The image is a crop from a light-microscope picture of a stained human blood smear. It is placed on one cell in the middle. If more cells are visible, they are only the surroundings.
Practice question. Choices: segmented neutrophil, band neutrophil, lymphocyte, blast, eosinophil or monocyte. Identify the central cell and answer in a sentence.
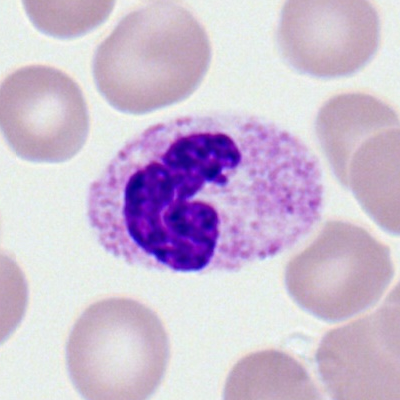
The cell around which this crop is centred is a band neutrophil.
